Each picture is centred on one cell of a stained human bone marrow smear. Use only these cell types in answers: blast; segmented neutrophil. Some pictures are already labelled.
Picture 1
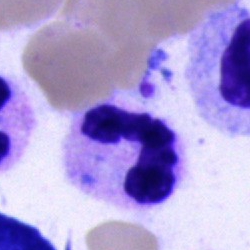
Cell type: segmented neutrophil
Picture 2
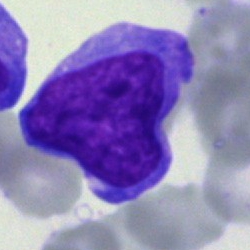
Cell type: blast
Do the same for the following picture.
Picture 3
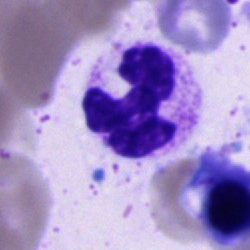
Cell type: segmented neutrophil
